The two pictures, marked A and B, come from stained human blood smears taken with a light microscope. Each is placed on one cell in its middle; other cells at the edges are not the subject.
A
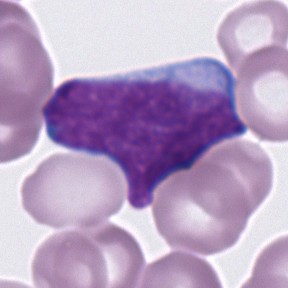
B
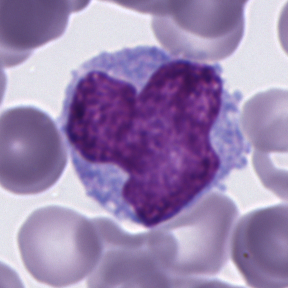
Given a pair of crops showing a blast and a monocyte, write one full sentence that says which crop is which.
Identification: crop A is a blast; crop B is a monocyte.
